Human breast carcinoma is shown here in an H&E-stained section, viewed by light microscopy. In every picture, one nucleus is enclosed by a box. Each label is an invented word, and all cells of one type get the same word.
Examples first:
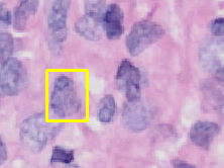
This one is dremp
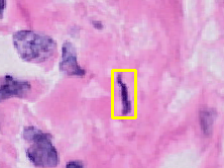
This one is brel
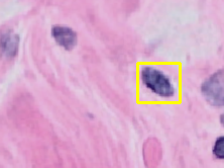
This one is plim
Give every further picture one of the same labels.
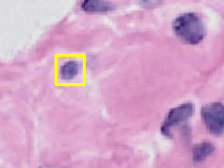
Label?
plim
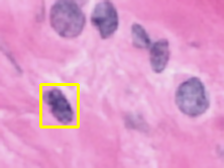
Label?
plim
